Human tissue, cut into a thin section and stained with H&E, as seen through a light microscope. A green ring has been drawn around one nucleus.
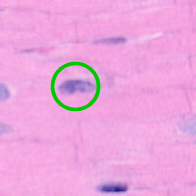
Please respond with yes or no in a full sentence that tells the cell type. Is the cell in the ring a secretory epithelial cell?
No, the cell in the ring is an endothelial cell; calling it a secretory epithelial cell would be wrong.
